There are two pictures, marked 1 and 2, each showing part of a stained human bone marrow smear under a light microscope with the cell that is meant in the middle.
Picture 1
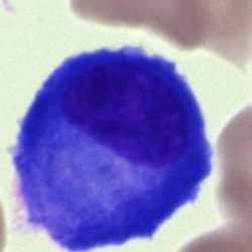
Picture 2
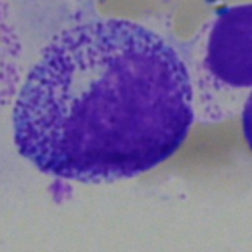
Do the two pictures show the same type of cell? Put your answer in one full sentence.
No; the cell in picture 1 is a plasma cell, while the one in picture 2 is a myelocyte.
